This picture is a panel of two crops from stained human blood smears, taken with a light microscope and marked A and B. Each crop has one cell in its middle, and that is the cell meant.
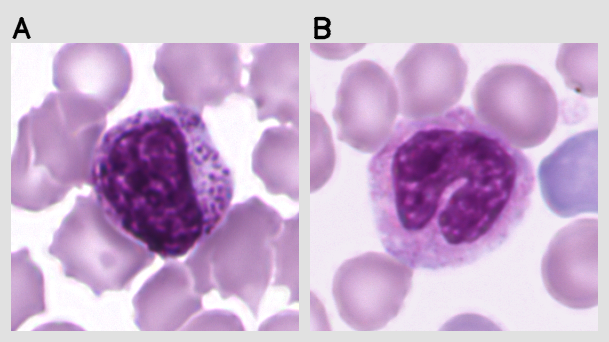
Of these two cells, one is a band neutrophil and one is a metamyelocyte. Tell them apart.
A: metamyelocyte
B: band neutrophil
